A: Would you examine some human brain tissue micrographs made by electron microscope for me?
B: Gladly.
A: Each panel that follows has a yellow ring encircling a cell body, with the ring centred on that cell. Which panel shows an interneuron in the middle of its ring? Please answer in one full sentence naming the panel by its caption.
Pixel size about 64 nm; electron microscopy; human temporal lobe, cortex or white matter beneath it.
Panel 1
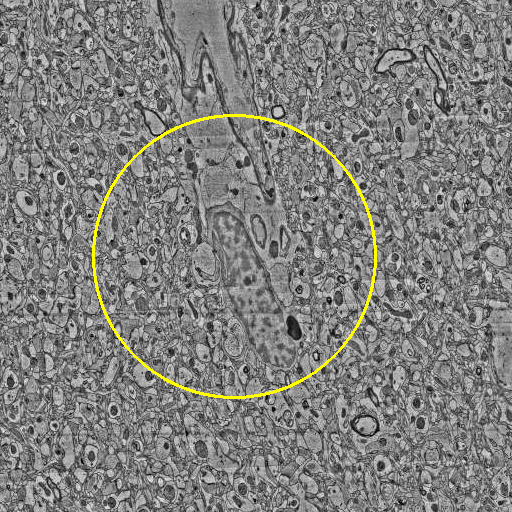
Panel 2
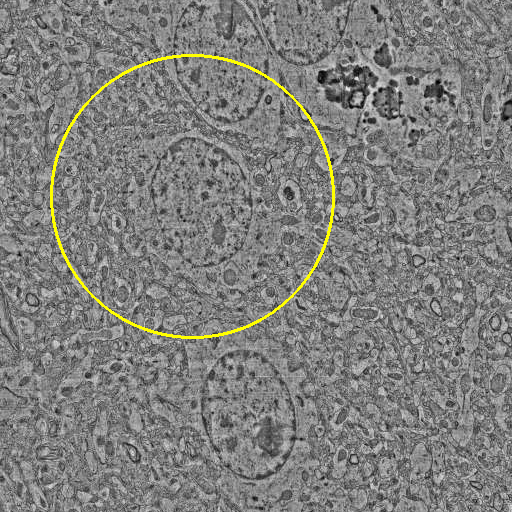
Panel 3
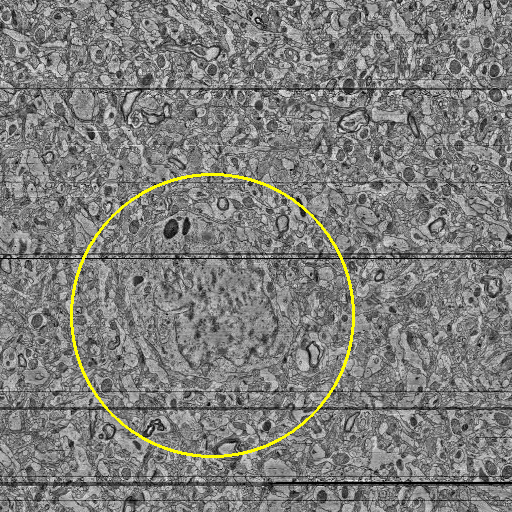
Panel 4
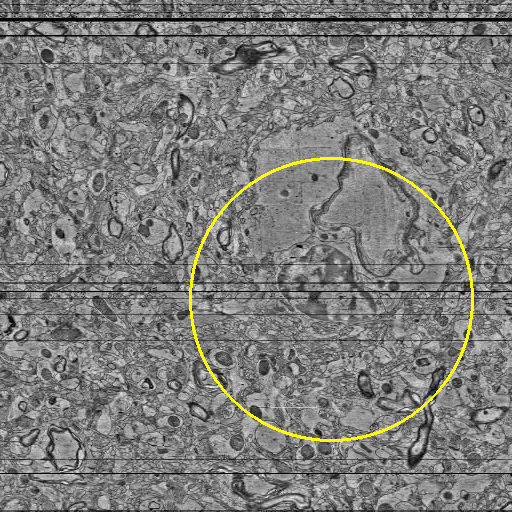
Panel 3 is where the ring sits centred on the requested cell.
